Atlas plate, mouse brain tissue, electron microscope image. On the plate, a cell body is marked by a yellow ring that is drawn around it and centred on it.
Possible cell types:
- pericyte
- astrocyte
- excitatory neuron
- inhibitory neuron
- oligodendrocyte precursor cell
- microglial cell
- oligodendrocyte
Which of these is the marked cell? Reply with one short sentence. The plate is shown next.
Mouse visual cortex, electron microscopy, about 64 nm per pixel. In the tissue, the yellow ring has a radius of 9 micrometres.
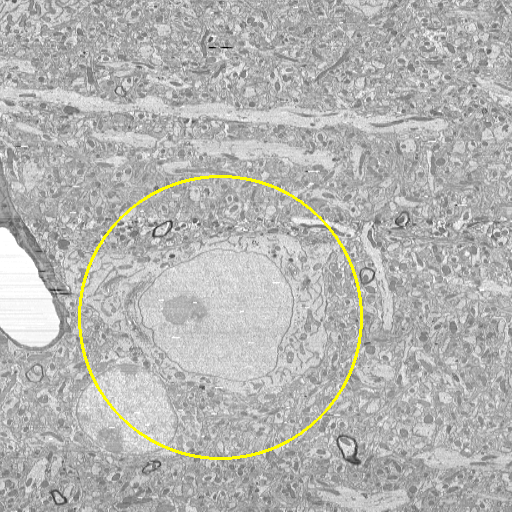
The marked cell is an excitatory neuron.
